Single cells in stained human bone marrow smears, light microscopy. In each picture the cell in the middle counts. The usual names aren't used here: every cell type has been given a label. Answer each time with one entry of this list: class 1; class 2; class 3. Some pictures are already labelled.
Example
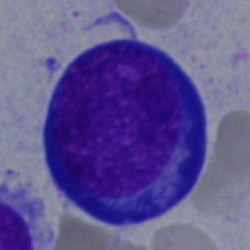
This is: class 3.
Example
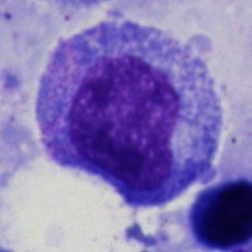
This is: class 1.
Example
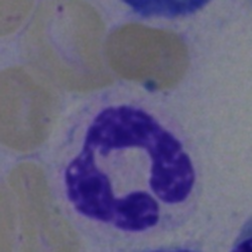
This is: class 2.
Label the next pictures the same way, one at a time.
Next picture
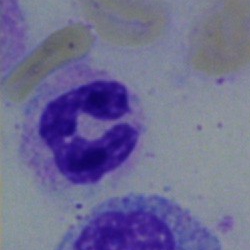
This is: class 2.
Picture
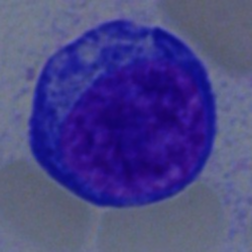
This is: class 3.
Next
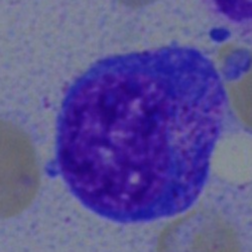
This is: class 1.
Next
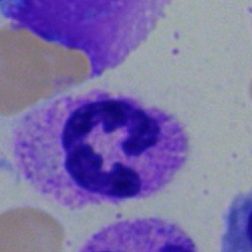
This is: class 2.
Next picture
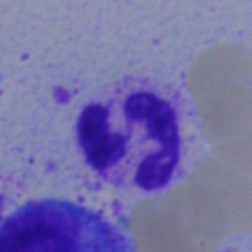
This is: class 2.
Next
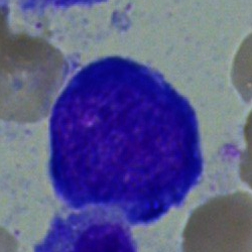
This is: class 3.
